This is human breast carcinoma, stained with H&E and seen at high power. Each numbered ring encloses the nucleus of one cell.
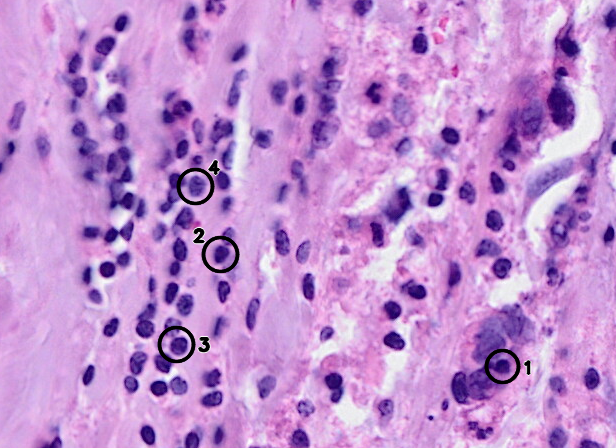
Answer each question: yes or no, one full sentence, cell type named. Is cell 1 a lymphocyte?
No; cell 1 is a carcinoma cell, not a lymphocyte.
